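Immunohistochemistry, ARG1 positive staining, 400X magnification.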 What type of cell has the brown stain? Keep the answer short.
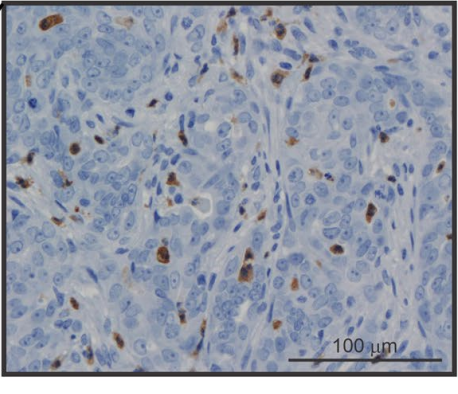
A: Polymorphonuclear cells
